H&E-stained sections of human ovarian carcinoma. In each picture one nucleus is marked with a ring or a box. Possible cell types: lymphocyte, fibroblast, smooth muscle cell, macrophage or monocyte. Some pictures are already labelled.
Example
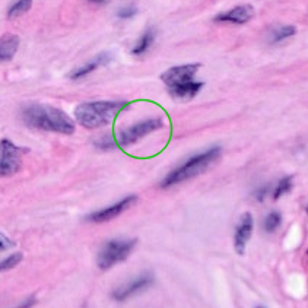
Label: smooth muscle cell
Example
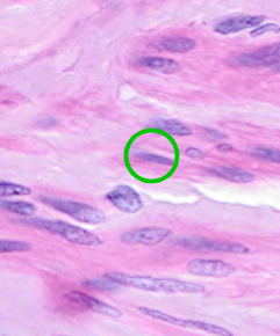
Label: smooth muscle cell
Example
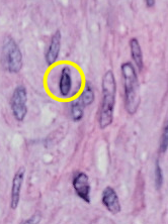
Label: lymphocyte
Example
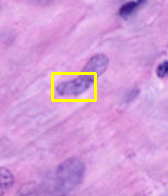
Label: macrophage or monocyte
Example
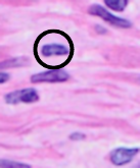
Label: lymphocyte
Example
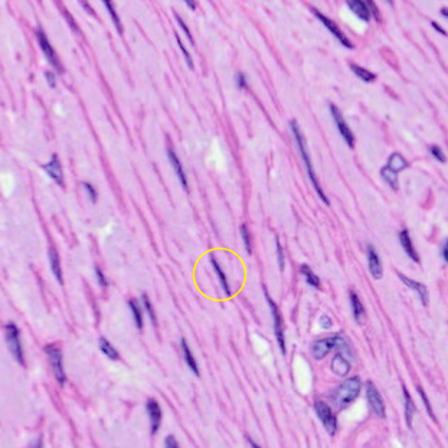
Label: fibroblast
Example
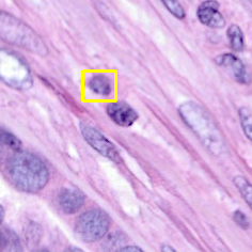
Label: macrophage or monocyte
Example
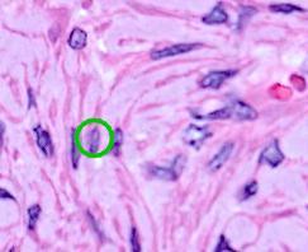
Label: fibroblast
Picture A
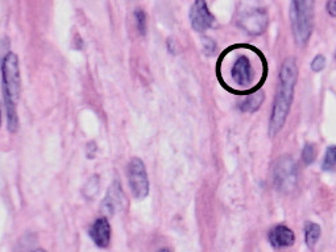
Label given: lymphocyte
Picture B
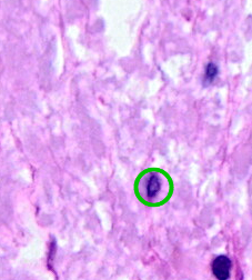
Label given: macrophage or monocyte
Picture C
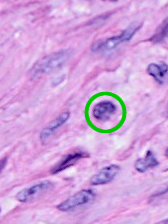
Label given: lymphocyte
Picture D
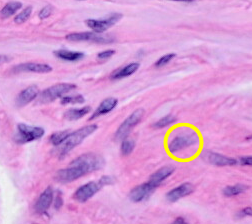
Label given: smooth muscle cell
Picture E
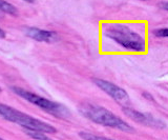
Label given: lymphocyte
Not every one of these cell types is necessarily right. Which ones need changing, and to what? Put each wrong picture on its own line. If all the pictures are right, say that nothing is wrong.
E should be smooth muscle cell, not lymphocyte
